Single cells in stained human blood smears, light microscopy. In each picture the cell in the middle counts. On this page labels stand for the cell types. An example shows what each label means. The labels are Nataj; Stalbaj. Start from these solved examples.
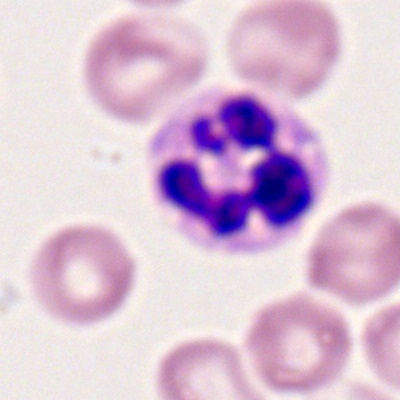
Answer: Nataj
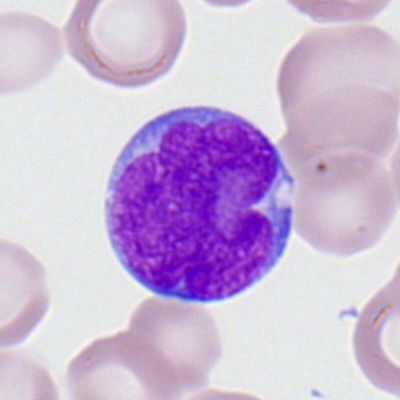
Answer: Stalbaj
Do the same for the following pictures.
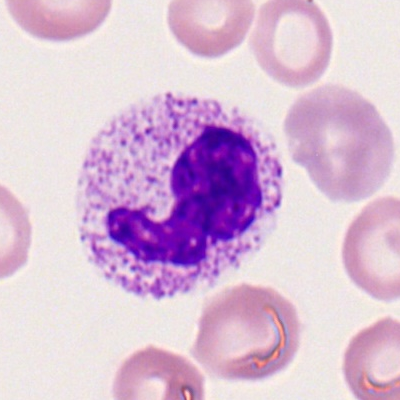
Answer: Nataj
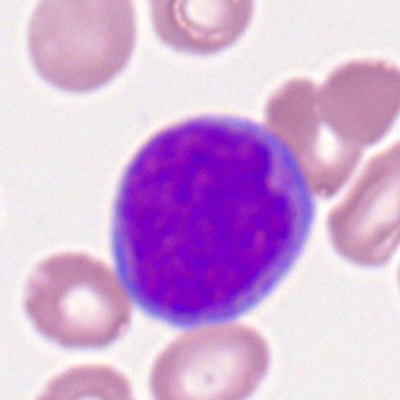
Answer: Stalbaj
